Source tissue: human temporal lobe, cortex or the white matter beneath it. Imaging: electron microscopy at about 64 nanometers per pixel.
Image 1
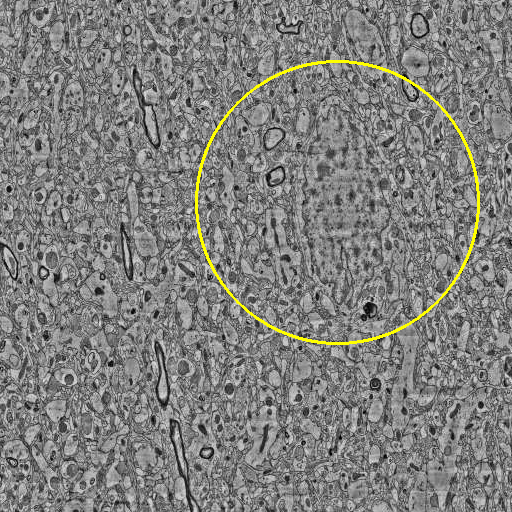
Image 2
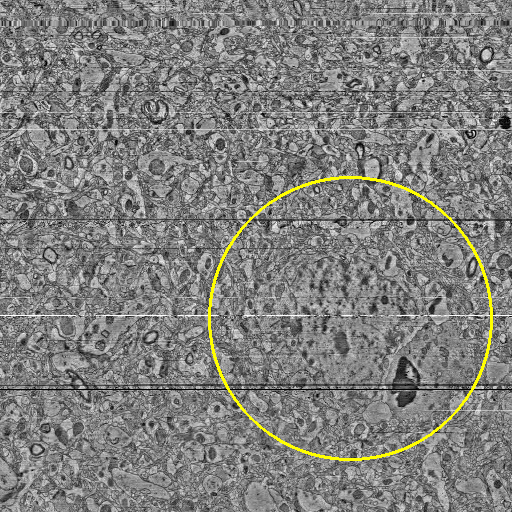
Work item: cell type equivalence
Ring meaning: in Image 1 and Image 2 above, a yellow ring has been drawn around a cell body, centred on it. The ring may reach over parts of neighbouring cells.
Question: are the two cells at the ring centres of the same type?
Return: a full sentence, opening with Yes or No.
Yes, the two centred cells are of the same type.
